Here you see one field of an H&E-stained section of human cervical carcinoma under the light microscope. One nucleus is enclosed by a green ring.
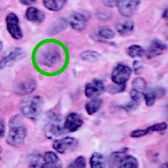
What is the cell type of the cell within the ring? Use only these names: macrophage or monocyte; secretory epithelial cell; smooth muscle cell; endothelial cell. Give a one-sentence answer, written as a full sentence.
Within this tissue, the cell within the ring is an endothelial cell.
